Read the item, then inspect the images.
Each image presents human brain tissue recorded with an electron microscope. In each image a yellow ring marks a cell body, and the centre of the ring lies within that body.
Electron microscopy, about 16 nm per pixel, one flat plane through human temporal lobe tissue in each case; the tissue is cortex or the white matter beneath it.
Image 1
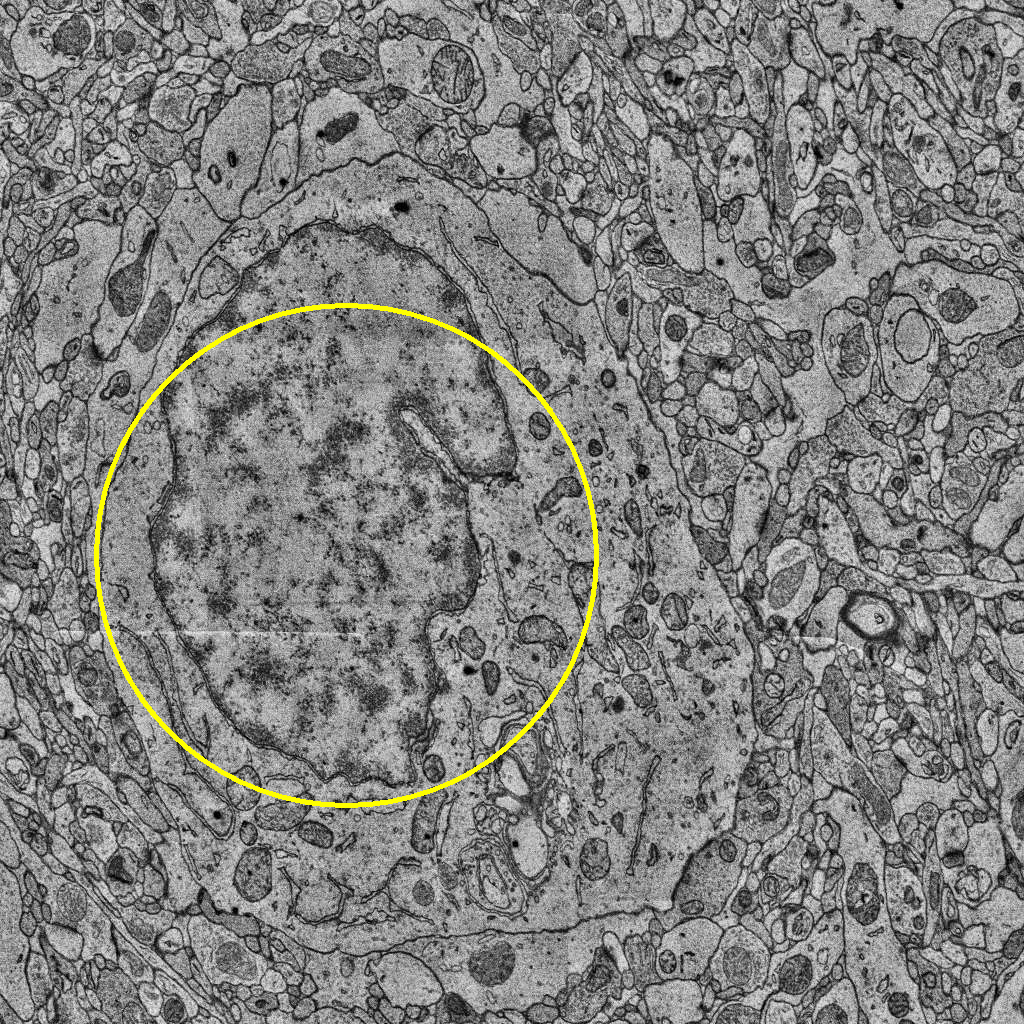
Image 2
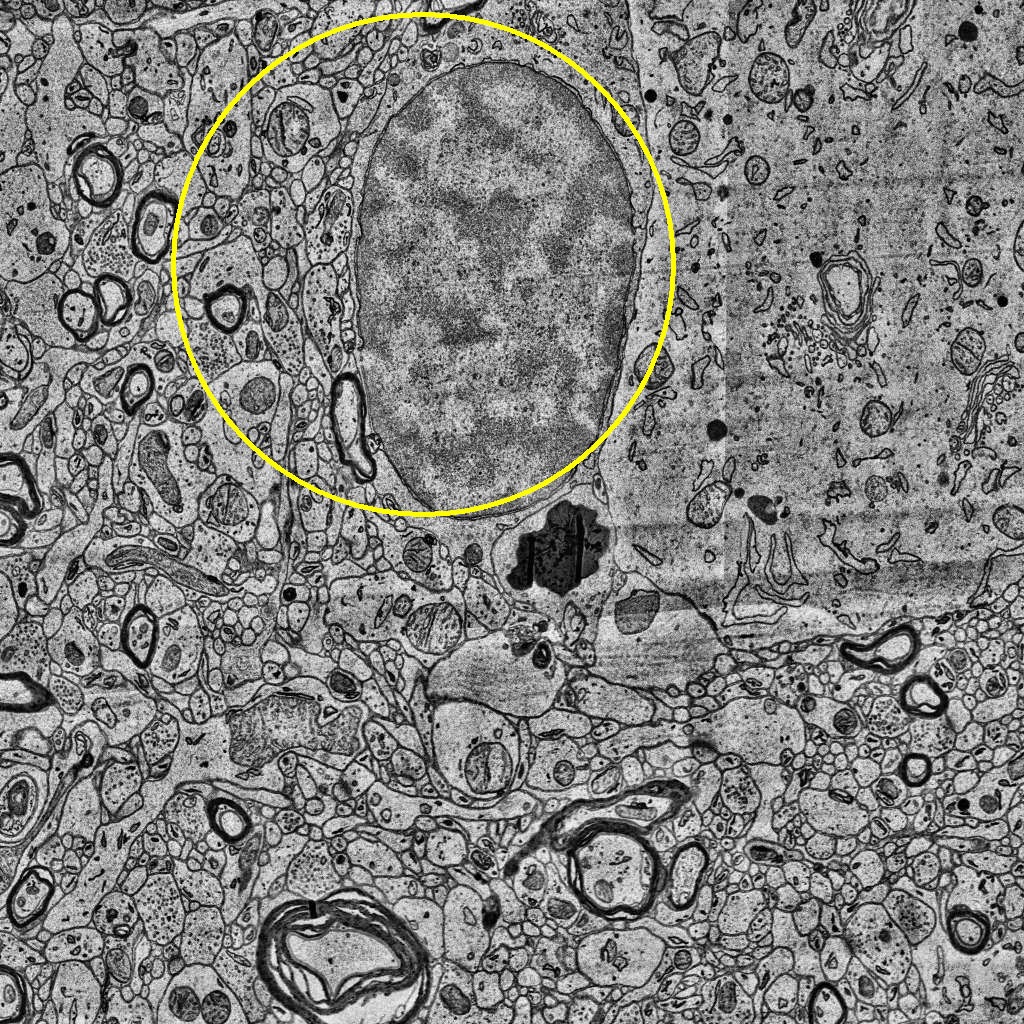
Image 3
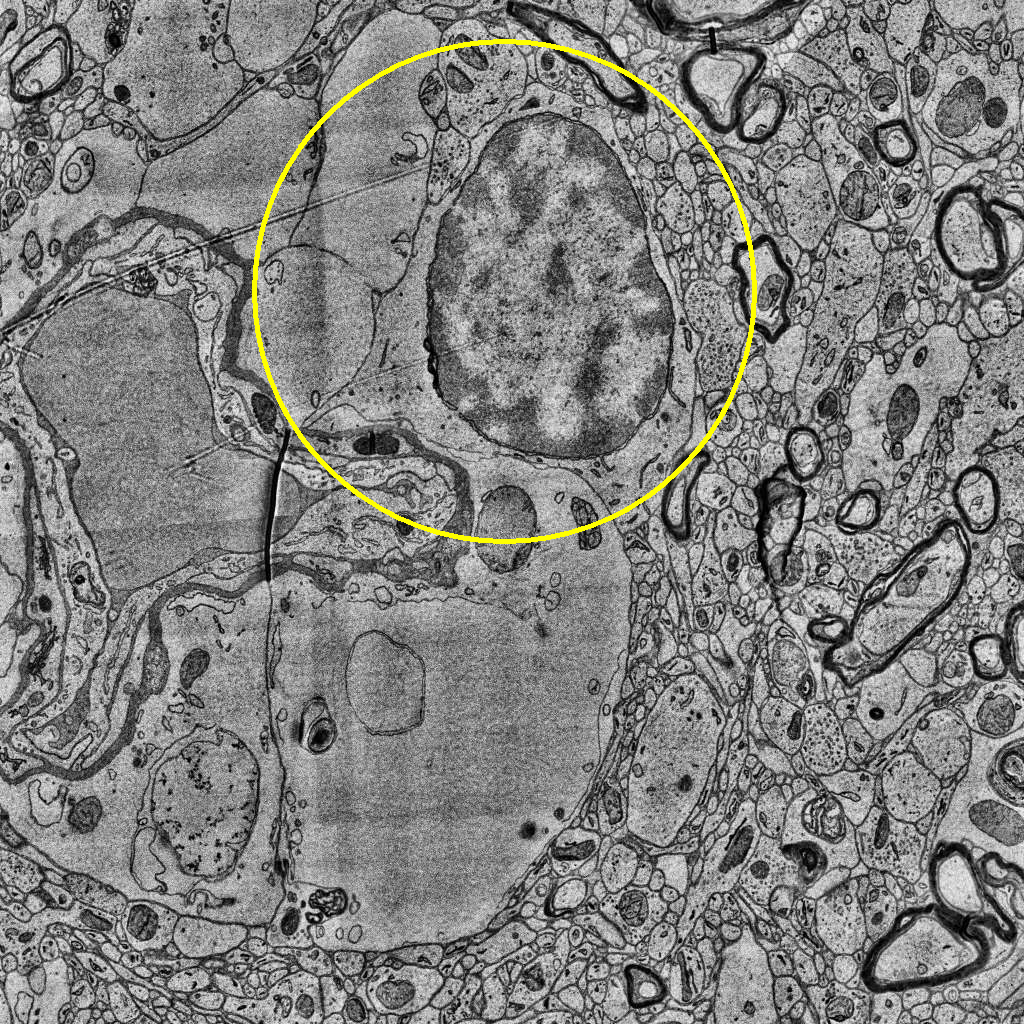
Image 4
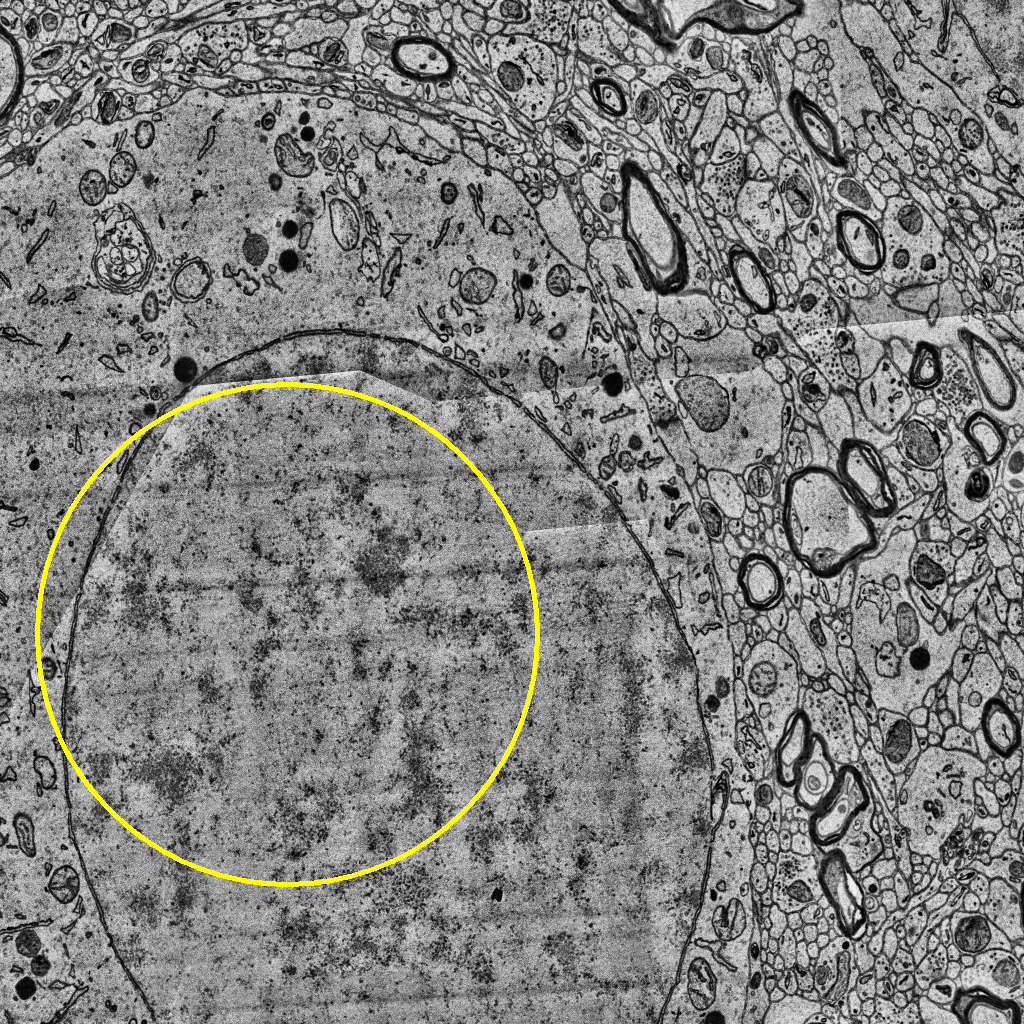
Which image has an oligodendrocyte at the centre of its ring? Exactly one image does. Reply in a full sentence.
The centre of the ring in Image 2 lies within it.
